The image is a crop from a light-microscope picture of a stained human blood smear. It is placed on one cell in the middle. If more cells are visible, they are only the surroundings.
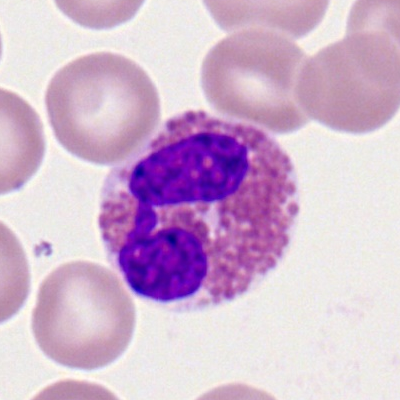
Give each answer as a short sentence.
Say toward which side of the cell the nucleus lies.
Toward the left of the cell lies its nucleus.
